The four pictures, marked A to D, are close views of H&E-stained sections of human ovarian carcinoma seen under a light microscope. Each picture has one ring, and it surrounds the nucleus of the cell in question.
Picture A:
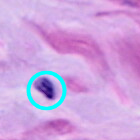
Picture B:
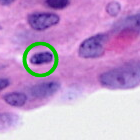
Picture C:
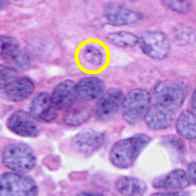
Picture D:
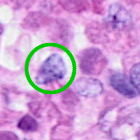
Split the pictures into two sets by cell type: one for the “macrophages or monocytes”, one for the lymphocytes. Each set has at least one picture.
A: lymphocyte
B: lymphocyte
C: macrophage or monocyte
D: macrophage or monocyte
